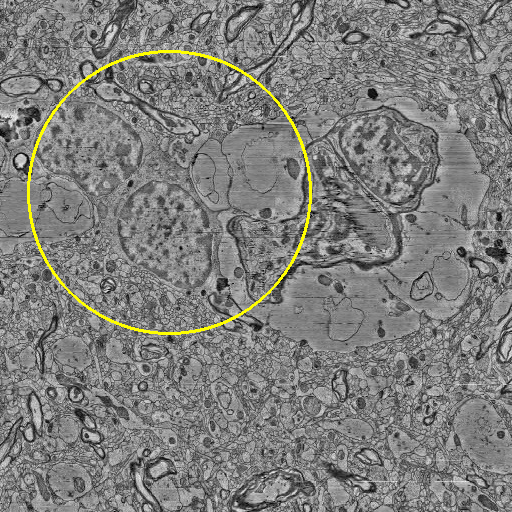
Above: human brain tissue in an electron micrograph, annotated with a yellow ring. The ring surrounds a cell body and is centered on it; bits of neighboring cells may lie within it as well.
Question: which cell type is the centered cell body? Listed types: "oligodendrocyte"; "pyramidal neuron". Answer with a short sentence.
The centered cell body is an oligodendrocyte.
